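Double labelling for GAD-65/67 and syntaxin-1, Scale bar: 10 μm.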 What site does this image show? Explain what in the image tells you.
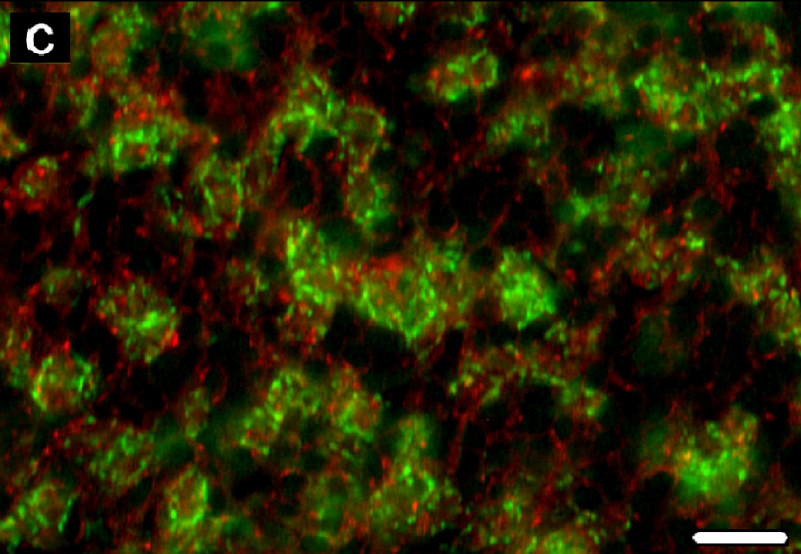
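Densely packed small dark round nuclei fill the field. Clusters of green puncta lie in islands between the nuclei. A fine red network runs between the cells.
Conclusion: granular layer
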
